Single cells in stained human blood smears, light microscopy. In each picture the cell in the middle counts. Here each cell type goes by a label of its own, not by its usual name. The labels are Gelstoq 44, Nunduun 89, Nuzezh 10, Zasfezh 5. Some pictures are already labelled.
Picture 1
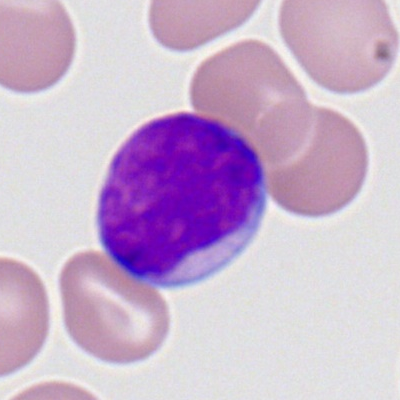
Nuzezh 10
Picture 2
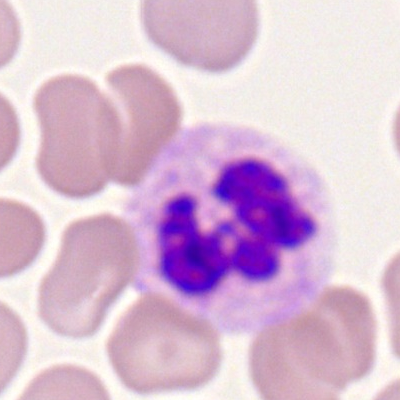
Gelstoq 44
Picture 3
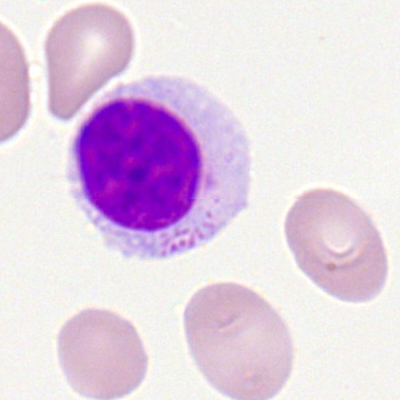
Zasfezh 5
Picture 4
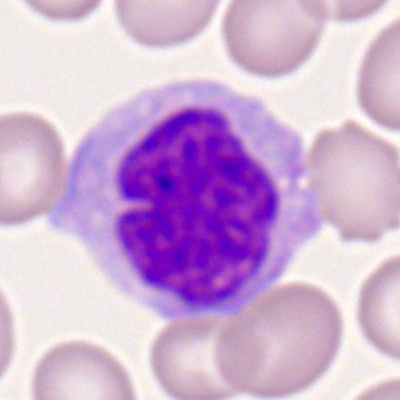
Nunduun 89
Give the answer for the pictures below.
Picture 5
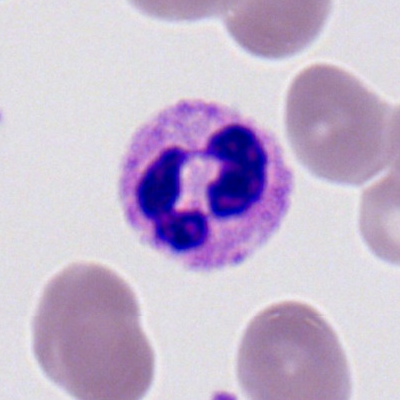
Gelstoq 44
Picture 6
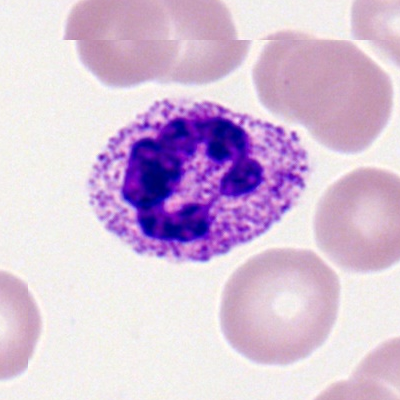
Gelstoq 44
